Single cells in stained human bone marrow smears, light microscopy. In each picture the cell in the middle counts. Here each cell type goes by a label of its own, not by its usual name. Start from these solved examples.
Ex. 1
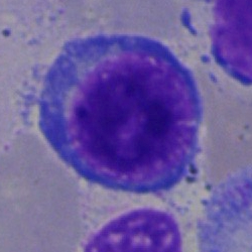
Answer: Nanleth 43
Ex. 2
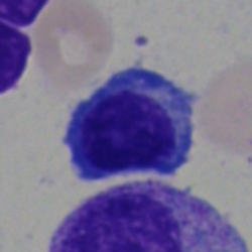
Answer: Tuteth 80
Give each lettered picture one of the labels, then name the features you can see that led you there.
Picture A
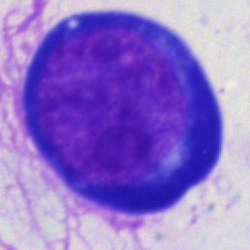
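Label: Nanleth 43. The nucleus fills most of the cell, leaving a narrow rim of cytoplasm.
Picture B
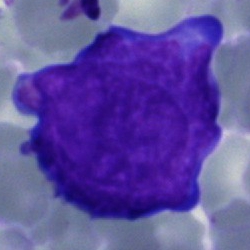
Label: Nanleth 43. The chromatin is finely stippled rather than coarsely clumped.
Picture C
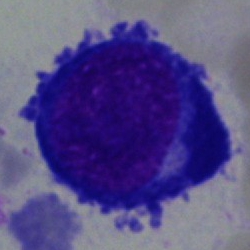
Label: Nanleth 43. The chromatin appears finely stippled rather than gathered into coarse dark clumps.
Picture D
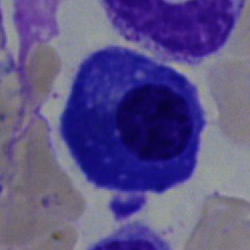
Label: Tuteth 80. The cytoplasm is abundant and stains deep blue.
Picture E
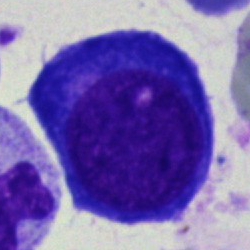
Label: Nanleth 43. The chromatin is finely granular rather than coarsely clumped.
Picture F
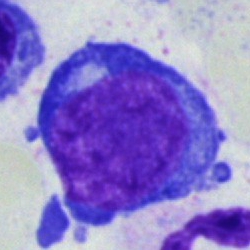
Label: Nanleth 43. The chromatin looks finely granular rather than coarsely clumped.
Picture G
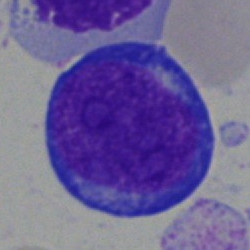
Label: Nanleth 43. The cytoplasm forms a narrow rim around the nucleus.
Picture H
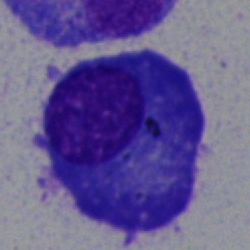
Label: Tuteth 80. The cytoplasm is plentiful and stains deep blue.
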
